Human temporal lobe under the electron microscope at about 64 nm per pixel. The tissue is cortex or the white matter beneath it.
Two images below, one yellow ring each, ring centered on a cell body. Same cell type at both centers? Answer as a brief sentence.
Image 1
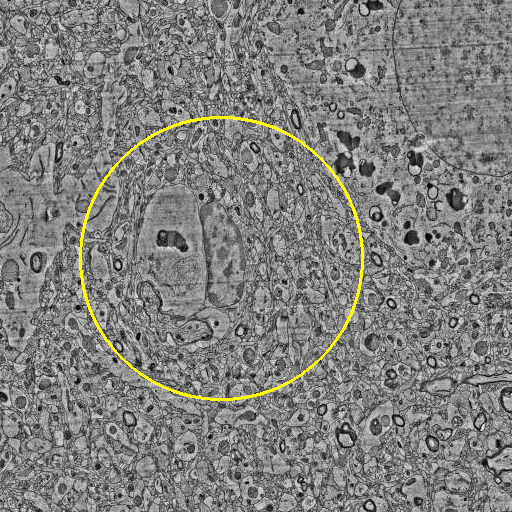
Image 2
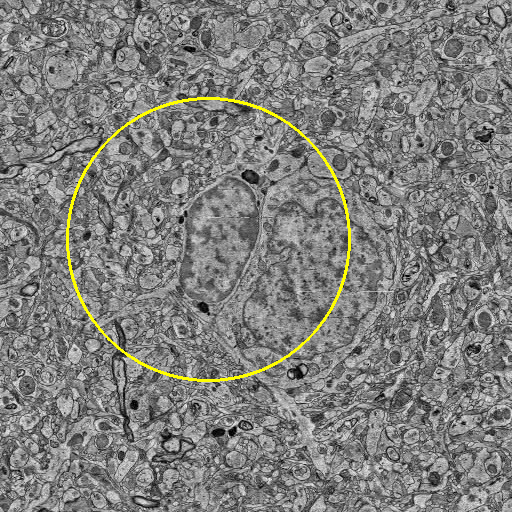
Yes, both cells are of the same type.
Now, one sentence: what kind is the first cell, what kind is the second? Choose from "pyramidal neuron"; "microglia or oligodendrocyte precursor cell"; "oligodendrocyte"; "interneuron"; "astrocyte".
Both cells are the same kind, each one being a microglial cell or oligodendrocyte precursor cell.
